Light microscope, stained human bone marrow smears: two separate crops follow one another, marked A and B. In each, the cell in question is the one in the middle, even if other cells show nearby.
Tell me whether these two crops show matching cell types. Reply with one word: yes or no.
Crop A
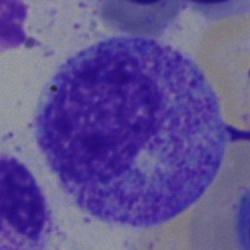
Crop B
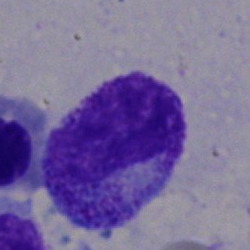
no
